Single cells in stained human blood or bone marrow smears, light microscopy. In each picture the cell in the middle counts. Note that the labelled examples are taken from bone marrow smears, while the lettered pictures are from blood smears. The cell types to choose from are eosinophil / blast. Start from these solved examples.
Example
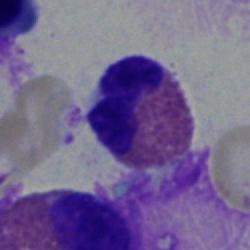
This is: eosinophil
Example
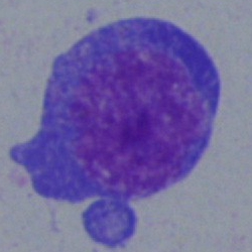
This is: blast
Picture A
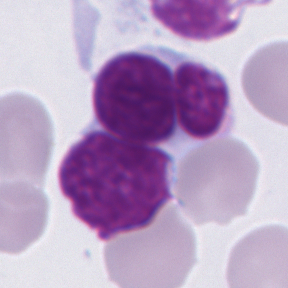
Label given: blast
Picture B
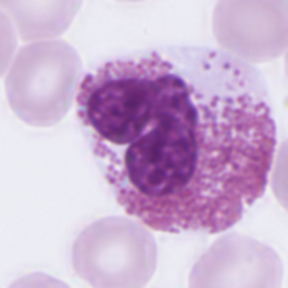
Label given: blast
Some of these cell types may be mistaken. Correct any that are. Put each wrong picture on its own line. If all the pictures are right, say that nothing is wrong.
B: eosinophil, not blast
